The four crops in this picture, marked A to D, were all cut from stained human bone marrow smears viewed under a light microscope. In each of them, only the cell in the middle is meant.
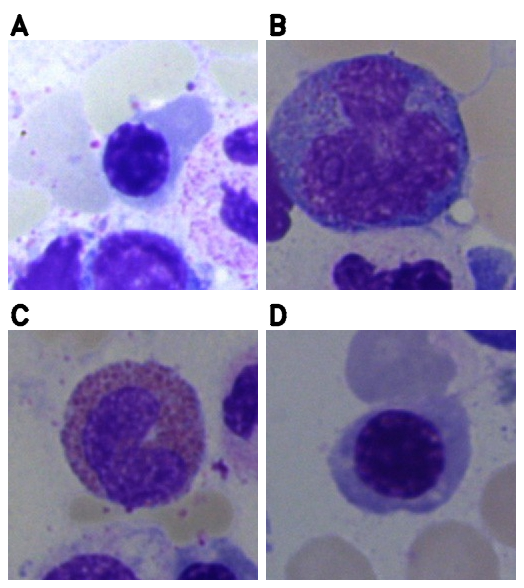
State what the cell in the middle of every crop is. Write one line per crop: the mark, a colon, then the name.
A: normoblast
B: monocyte
C: eosinophil
D: normoblast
